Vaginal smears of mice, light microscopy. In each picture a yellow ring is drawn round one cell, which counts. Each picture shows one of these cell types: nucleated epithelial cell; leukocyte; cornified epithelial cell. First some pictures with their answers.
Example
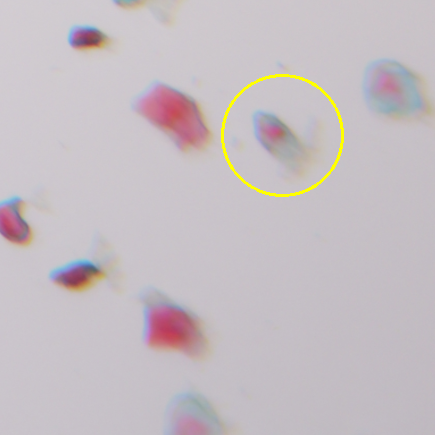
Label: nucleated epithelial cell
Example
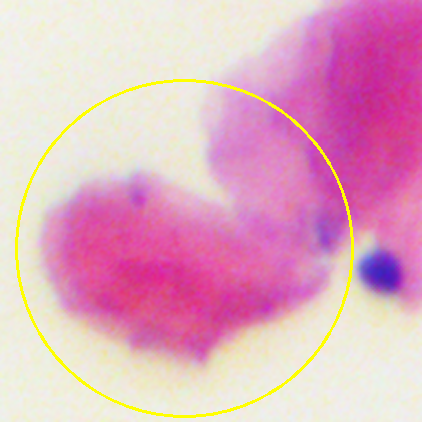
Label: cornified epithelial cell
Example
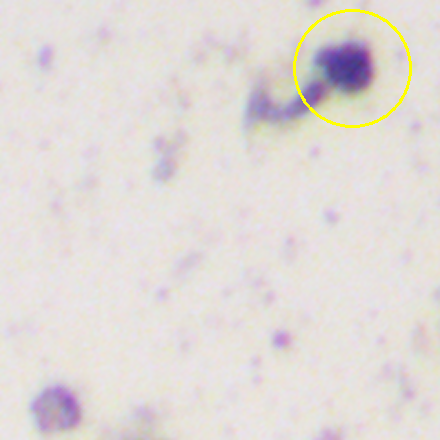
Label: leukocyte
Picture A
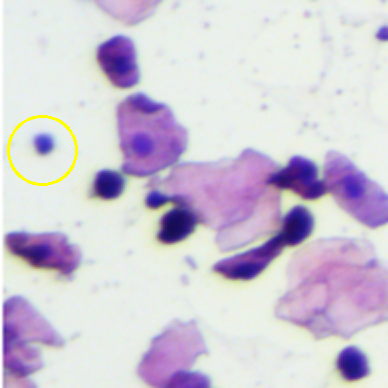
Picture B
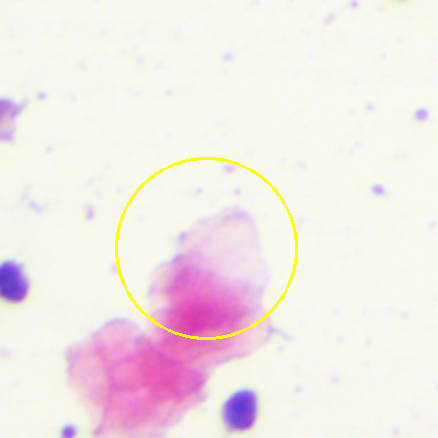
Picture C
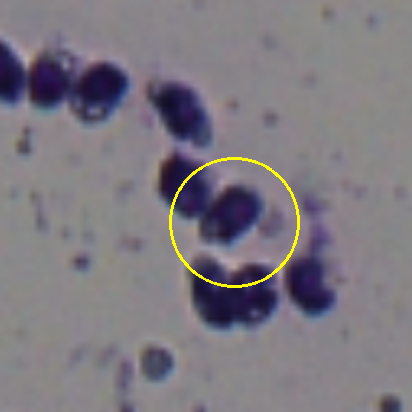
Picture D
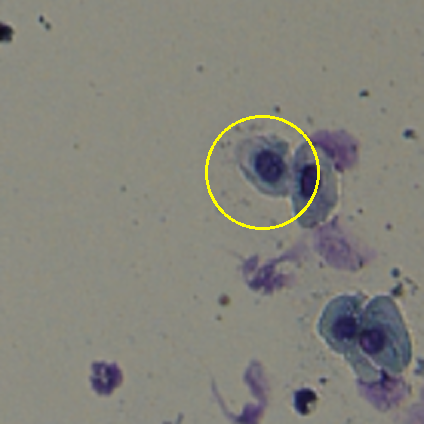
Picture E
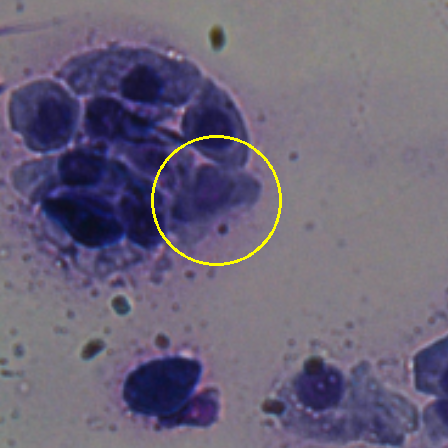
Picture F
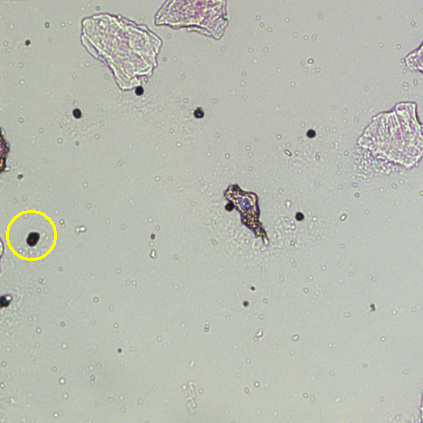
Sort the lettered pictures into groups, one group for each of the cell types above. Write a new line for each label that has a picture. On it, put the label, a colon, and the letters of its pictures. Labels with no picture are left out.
nucleated epithelial cell: D, E
leukocyte: A, C, F
cornified epithelial cell: B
